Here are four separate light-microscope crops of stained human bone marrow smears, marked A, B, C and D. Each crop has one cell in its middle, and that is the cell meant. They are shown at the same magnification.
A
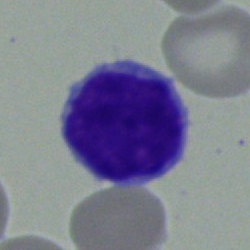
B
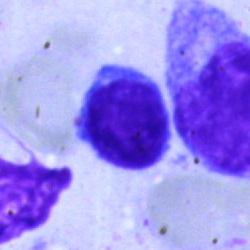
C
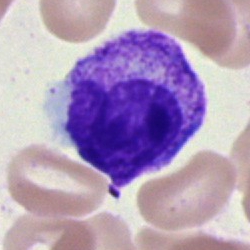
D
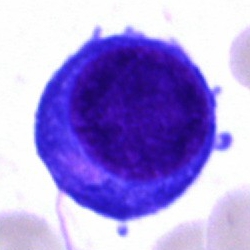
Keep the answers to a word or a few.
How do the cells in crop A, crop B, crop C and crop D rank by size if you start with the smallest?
B, A, C, D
